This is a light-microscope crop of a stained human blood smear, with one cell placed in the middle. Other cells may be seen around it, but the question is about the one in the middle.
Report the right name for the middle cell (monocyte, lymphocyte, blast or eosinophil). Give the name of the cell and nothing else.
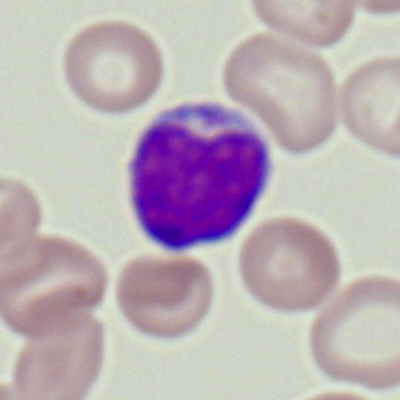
lymphocyte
